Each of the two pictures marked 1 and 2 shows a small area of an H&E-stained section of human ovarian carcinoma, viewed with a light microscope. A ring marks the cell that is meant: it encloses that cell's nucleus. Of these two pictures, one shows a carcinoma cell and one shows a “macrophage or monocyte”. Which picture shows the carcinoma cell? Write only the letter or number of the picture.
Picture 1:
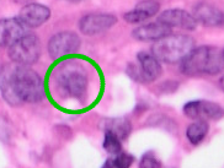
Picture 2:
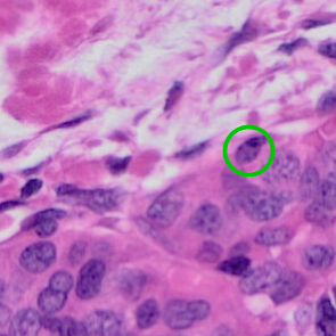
1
